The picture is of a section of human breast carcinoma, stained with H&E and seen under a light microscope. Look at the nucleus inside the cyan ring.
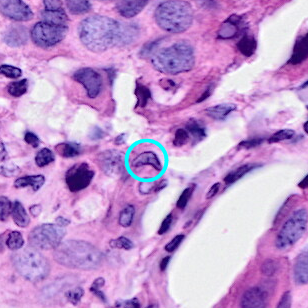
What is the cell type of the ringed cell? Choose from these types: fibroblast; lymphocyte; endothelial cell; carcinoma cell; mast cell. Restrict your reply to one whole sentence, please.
To be brief about it, the ringed cell is an endothelial cell.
